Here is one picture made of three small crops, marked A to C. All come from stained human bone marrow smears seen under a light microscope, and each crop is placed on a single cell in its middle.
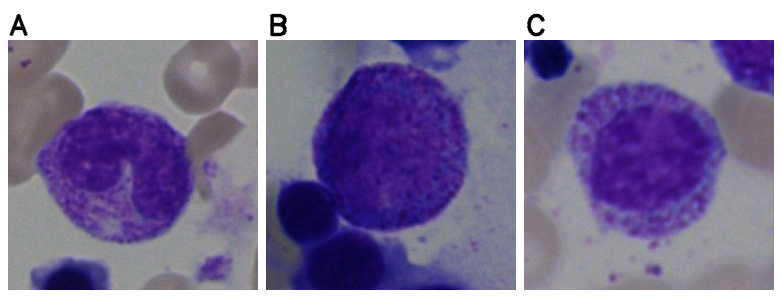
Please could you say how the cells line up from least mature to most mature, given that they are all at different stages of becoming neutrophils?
B, C, A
